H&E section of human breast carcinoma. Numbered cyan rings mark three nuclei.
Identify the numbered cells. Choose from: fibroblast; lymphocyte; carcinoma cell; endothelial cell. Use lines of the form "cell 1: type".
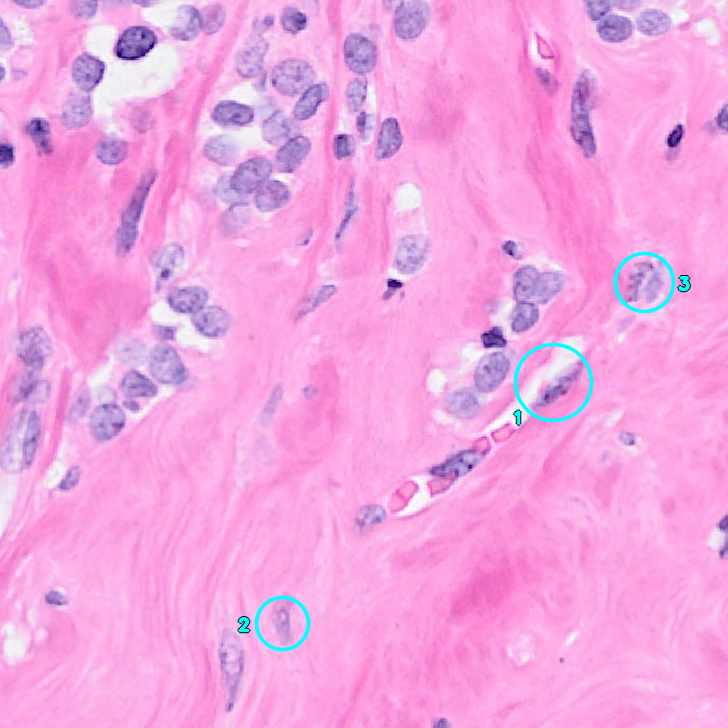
cell 1: endothelial cell
cell 2: fibroblast
cell 3: fibroblast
